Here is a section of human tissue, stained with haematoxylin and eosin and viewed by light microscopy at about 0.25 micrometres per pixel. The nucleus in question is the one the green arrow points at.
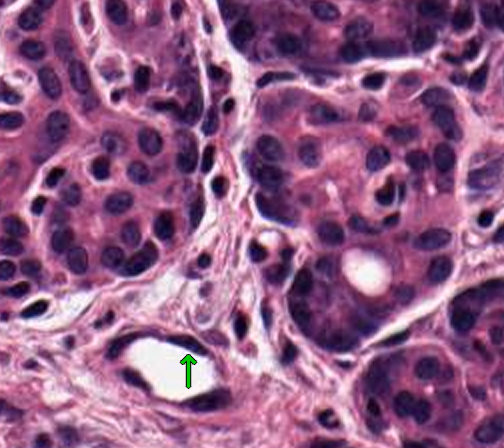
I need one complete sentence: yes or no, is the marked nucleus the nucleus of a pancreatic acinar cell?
No, the marked nucleus belongs to a supporting cell, not to a pancreatic acinar cell.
